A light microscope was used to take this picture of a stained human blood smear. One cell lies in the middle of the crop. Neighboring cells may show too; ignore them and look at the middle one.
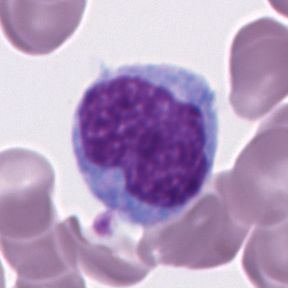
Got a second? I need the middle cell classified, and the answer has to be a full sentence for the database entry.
Classified as a monocyte is the cell in the middle of this crop.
